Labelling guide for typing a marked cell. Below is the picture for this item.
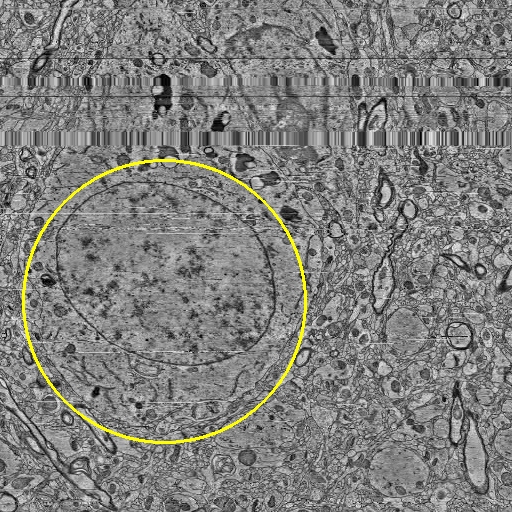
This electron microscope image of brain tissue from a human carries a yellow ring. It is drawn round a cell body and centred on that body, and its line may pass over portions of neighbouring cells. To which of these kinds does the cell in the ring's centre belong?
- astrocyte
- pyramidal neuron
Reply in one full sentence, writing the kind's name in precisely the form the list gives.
Here we have a pyramidal neuron at the centre of the yellow ring in the picture.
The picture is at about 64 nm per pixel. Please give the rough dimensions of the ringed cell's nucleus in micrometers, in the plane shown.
The nucleus measures about 15 by 12 micrometres in this plane.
